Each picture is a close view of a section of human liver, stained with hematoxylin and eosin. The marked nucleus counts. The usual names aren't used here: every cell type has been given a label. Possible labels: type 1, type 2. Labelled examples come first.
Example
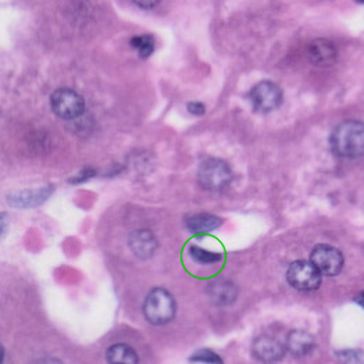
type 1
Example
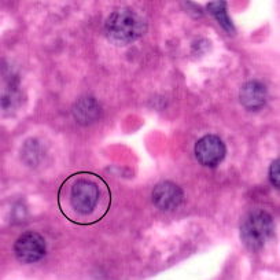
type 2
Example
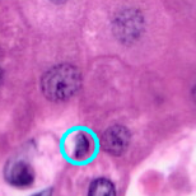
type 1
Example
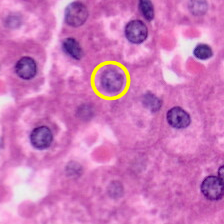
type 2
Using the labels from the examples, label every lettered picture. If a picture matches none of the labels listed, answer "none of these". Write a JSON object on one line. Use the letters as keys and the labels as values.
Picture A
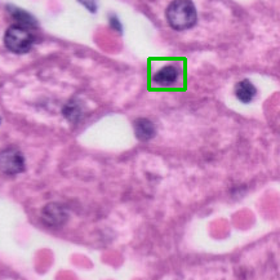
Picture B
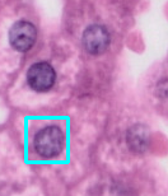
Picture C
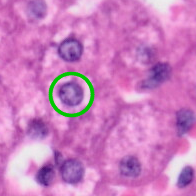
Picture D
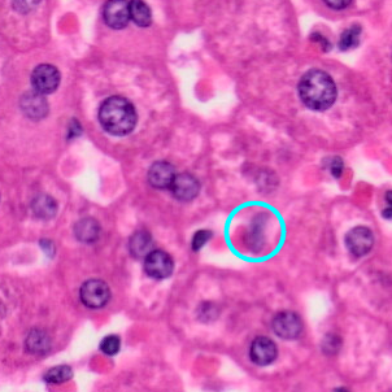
{"A": "type 1", "B": "type 2", "C": "type 2", "D": "none of these"}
